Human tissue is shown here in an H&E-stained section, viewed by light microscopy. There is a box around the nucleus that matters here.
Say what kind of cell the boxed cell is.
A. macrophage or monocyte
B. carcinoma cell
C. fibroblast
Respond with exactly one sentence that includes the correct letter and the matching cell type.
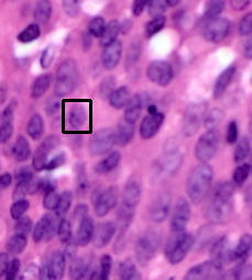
In the section, the boxed cell is a carcinoma cell, and option B is correct accordingly.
